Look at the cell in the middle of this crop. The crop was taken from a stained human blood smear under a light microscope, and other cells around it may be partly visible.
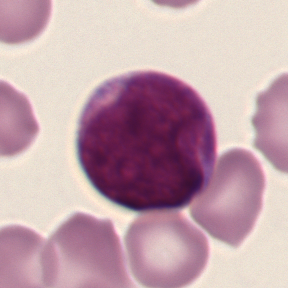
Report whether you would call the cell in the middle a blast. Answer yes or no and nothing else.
yes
